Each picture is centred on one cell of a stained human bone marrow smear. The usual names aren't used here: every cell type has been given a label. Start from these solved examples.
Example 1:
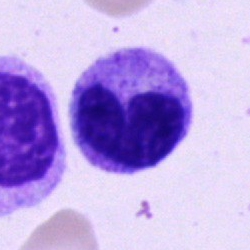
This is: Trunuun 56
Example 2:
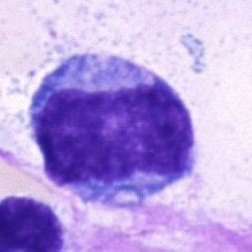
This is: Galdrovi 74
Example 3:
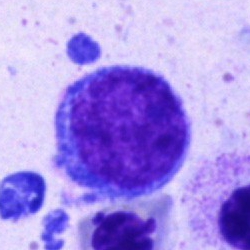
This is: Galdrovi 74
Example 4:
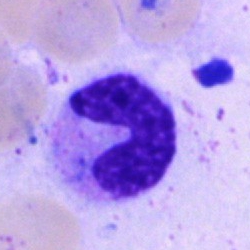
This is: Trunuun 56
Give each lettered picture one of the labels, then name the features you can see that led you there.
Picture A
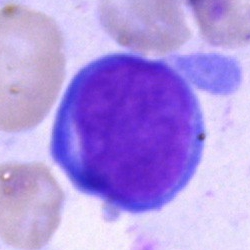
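Label: Galdrovi 74. The cytoplasm forms only a thin rim around the nucleus.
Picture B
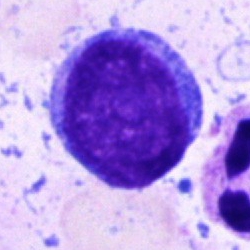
Label: Galdrovi 74. The cytoplasm forms only a narrow rim around the nucleus.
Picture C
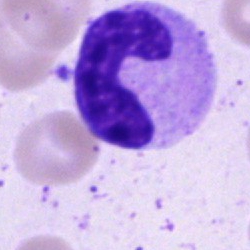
Label: Trunuun 56. The nucleus is a curved, C-shaped band with its open side facing right.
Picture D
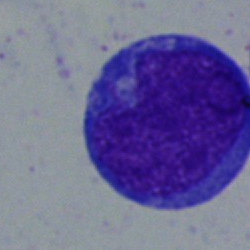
Label: Galdrovi 74. The chromatin looks finely stippled rather than in coarse clumps.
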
